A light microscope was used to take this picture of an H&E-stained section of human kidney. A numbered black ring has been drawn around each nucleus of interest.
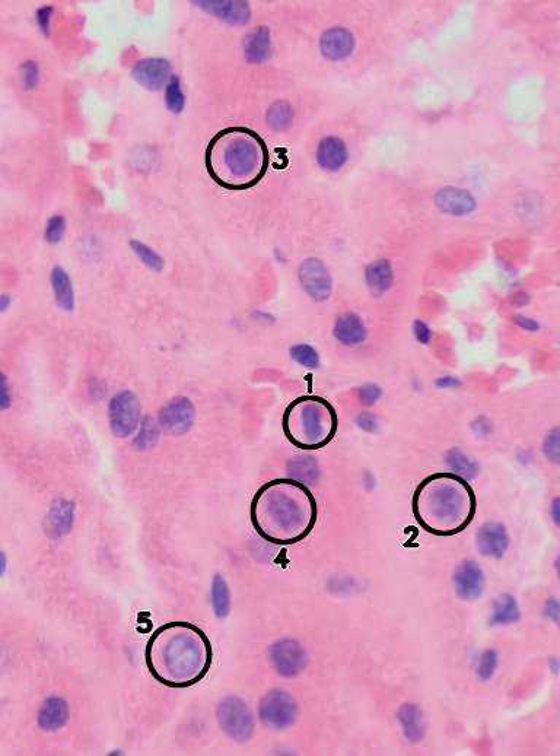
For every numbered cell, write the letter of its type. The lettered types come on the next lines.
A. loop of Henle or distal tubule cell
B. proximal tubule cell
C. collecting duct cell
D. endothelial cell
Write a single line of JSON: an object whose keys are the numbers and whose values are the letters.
{"1": "D", "2": "A", "3": "B", "4": "B", "5": "B"}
